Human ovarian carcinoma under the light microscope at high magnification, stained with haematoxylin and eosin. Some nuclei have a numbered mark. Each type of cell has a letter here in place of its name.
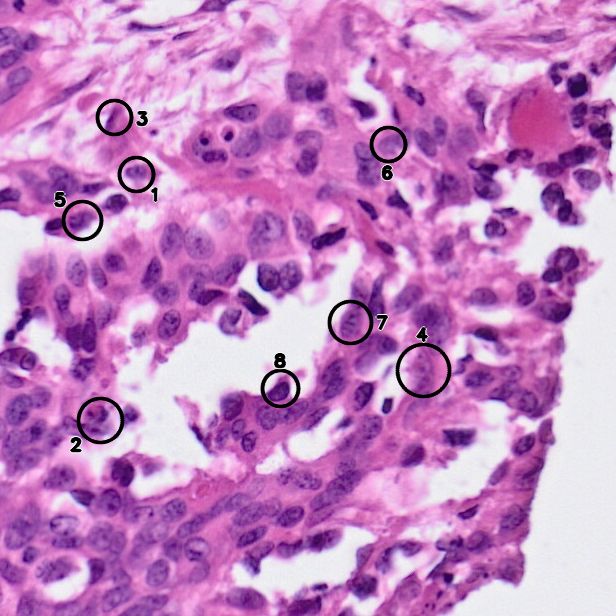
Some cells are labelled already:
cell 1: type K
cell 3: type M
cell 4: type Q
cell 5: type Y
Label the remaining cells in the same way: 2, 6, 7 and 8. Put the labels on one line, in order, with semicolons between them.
type K; type Y; type Y; type Y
